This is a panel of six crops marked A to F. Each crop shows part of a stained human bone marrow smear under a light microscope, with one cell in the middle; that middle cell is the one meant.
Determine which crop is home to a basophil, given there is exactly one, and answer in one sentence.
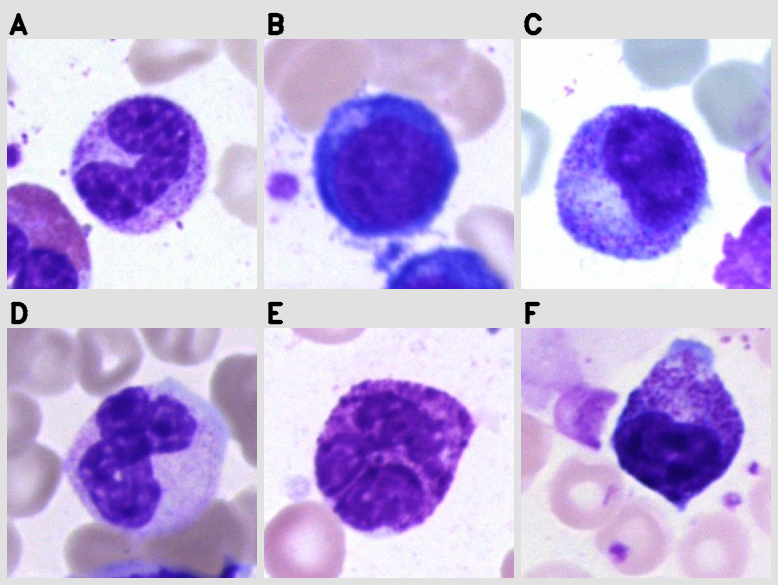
The cell identified as a basophil is the one in crop E.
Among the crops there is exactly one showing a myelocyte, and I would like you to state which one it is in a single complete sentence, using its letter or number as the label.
Here the crop that shows a myelocyte is crop C.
